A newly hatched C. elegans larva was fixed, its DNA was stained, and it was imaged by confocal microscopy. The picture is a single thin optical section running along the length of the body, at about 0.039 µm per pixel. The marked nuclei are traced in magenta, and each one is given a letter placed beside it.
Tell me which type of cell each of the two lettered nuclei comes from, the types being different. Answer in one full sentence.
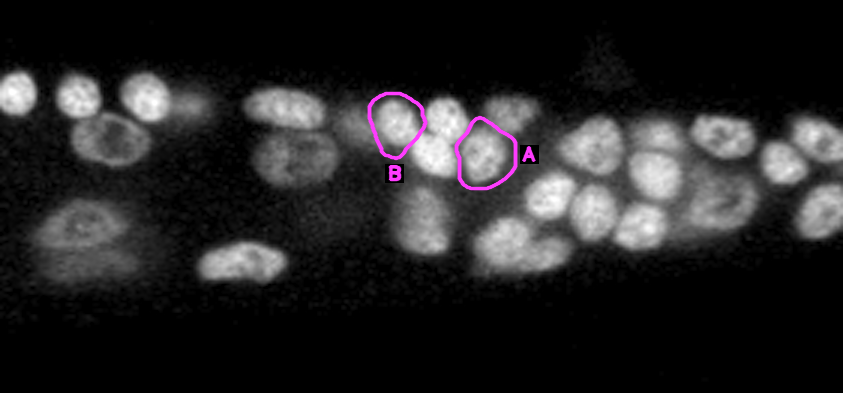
A is the nucleus of a rectal epithelial cell; B is the nucleus of a neuron.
